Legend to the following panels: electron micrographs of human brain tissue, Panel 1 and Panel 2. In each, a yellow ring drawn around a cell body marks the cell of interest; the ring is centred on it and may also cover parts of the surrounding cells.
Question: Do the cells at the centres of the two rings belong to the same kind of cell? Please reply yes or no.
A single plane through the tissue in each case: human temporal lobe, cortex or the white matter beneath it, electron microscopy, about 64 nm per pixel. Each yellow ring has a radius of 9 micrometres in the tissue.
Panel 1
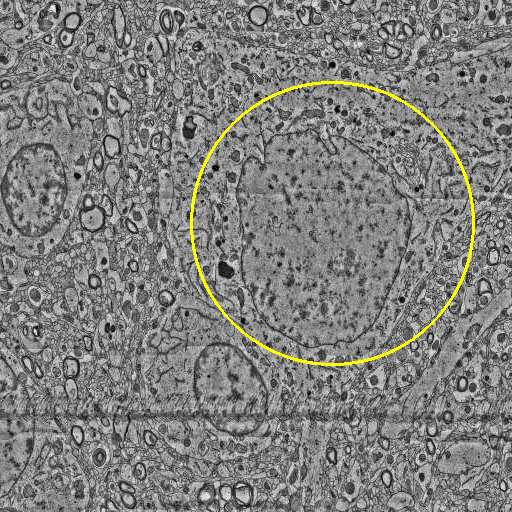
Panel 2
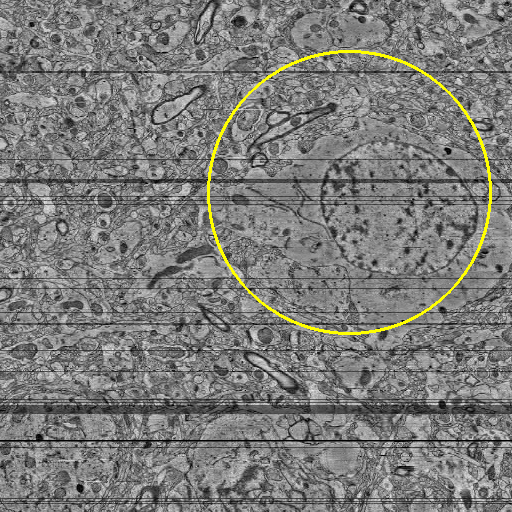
no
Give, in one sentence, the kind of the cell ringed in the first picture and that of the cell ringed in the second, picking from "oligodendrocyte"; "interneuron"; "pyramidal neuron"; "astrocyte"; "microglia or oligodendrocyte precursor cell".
For the first picture it is a pyramidal neuron; for the second, an astrocyte.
